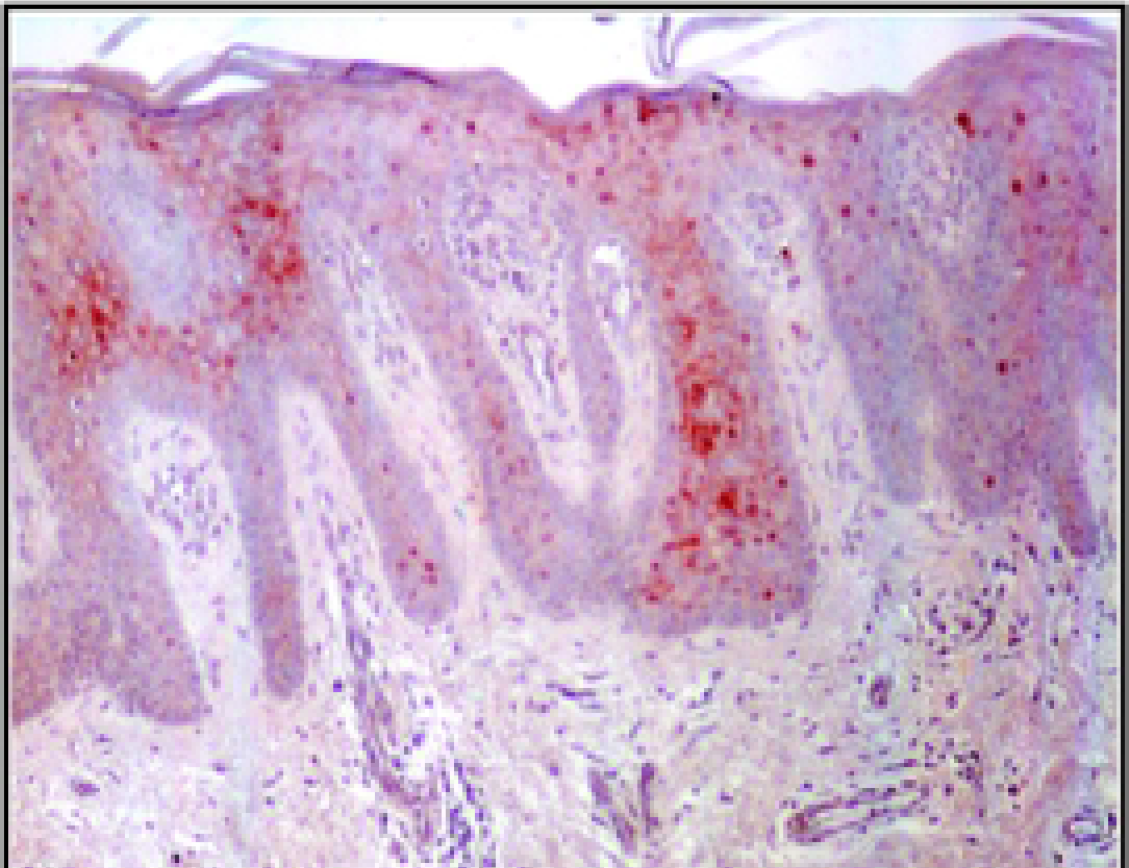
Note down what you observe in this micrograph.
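This is skin with a thickened epidermis that forms long downward ridges separated by narrow dermal papillae. Red granular staining is scattered among the keratinocytes, densest in patches within some of the ridges. The dermis beneath is pale pink connective tissue with small vessels and scattered blue nuclei.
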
